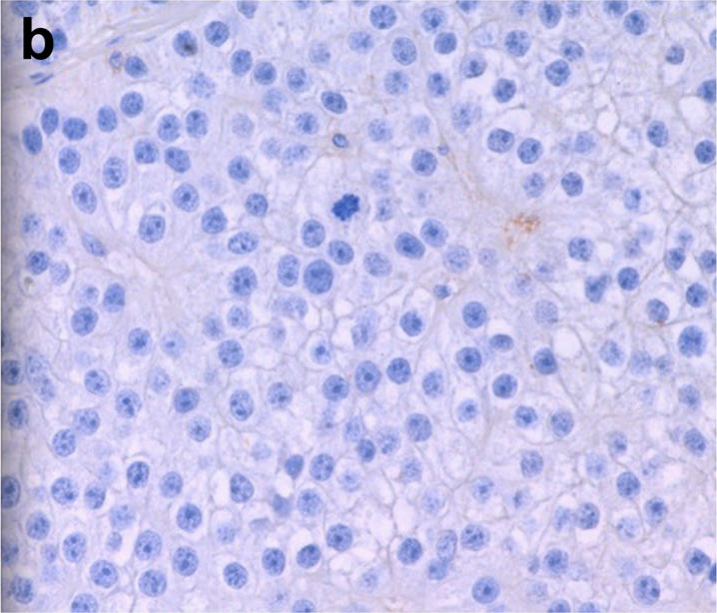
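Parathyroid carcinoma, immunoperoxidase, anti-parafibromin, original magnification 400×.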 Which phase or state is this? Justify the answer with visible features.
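One cell near the centre has a dark blue, clumped, irregular chromatin mass instead of a round nucleus. On this evidence: mitotic figure.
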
